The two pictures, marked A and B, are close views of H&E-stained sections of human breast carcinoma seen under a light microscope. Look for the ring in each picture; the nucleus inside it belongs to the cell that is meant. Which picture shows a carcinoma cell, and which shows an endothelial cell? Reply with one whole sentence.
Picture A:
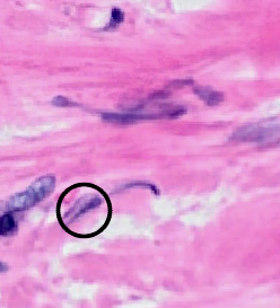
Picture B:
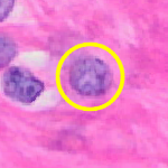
Picture A is of an endothelial cell, and picture B is of a carcinoma cell.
